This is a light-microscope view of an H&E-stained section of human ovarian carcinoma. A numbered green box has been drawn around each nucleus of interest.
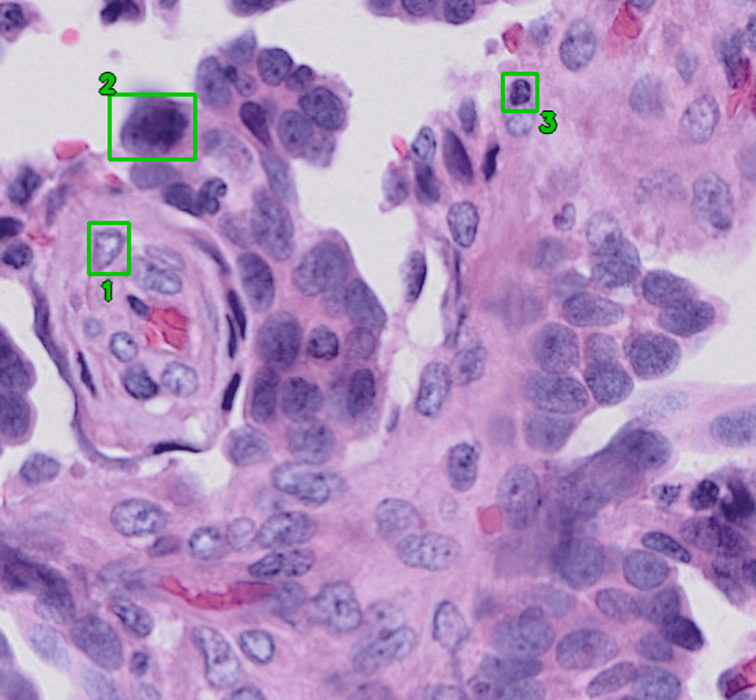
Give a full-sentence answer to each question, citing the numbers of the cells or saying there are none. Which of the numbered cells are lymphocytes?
Only cell 3 is a lymphocyte; none of the other numbered cells is.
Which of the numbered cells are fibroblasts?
Only one marked cell, number 1, is a fibroblast.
